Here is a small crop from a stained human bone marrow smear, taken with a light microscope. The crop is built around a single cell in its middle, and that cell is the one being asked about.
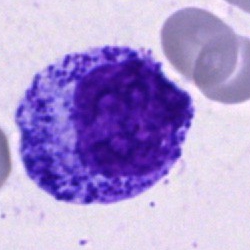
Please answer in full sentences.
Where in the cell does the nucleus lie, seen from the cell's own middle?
Seen from the middle of the cell, the nucleus lies toward the right.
